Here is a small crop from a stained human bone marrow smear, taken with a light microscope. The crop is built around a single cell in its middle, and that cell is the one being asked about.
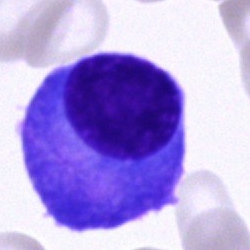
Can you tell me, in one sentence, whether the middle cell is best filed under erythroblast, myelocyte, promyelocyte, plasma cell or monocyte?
Answering briefly, the cell in the middle is a plasma cell.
